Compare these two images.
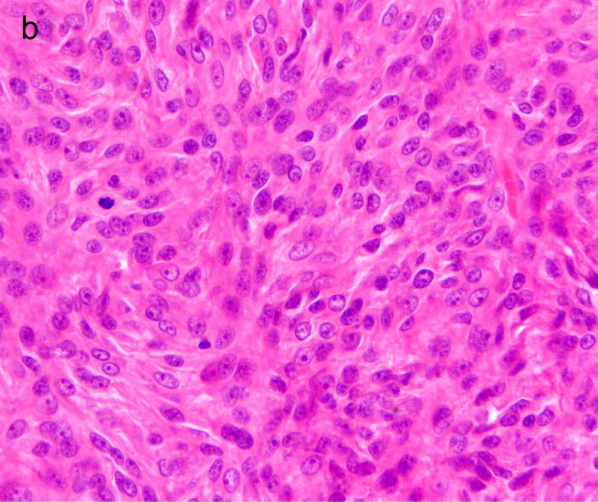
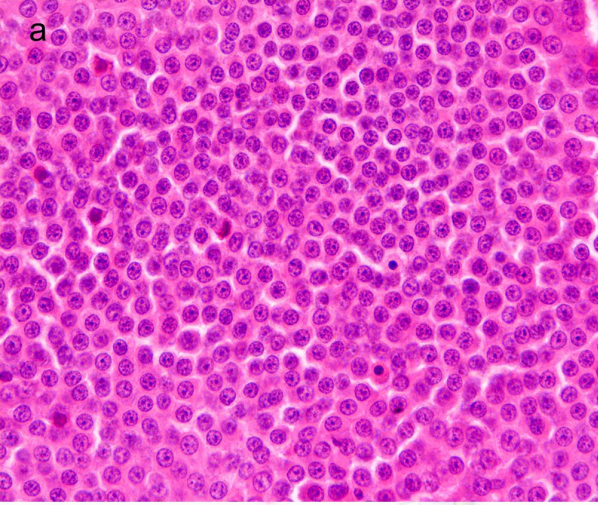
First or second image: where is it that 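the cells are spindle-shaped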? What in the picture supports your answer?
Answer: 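The first image. First image: elongated cells with oval nuclei in crossing bundles. Second image: rounded-polygonal cells with round nuclei in a solid sheet.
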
